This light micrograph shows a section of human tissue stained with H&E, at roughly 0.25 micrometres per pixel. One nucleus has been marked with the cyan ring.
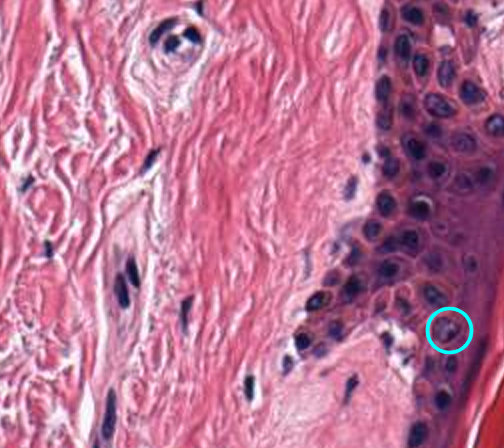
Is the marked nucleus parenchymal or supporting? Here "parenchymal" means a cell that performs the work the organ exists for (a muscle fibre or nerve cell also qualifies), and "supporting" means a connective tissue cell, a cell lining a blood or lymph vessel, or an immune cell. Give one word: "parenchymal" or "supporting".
parenchymal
